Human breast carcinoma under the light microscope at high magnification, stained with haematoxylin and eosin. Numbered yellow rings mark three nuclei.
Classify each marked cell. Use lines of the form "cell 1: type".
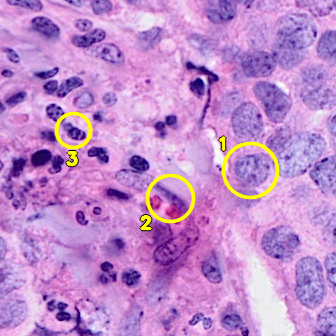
cell 1: carcinoma cell
cell 2: endothelial cell
cell 3: lymphocyte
